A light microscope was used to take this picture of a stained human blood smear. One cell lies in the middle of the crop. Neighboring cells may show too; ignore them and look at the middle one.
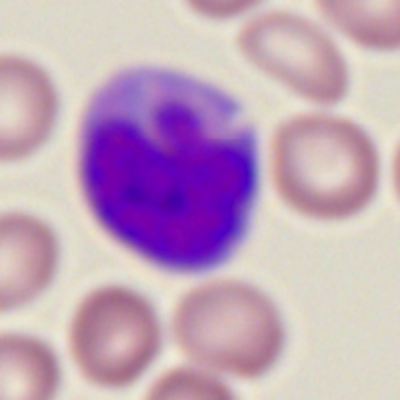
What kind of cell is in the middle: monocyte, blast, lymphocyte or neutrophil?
monocyte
